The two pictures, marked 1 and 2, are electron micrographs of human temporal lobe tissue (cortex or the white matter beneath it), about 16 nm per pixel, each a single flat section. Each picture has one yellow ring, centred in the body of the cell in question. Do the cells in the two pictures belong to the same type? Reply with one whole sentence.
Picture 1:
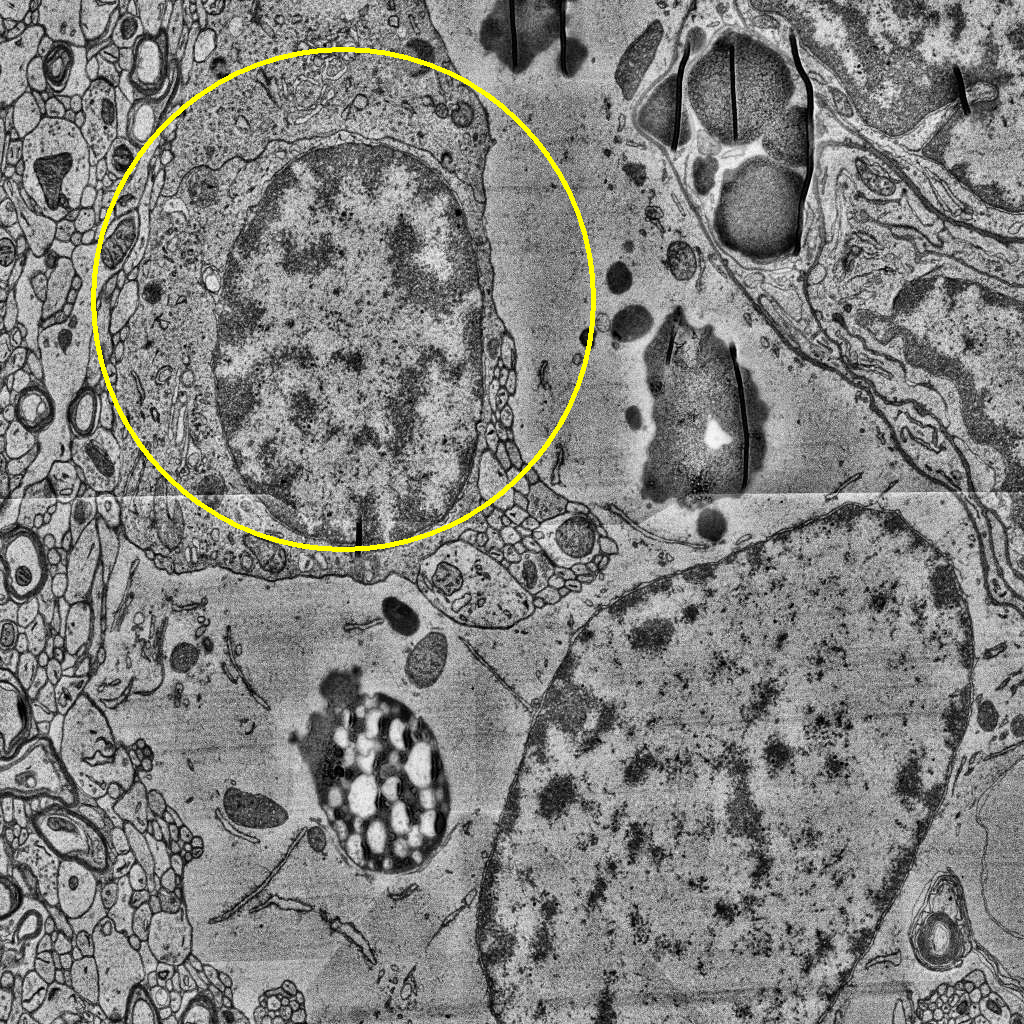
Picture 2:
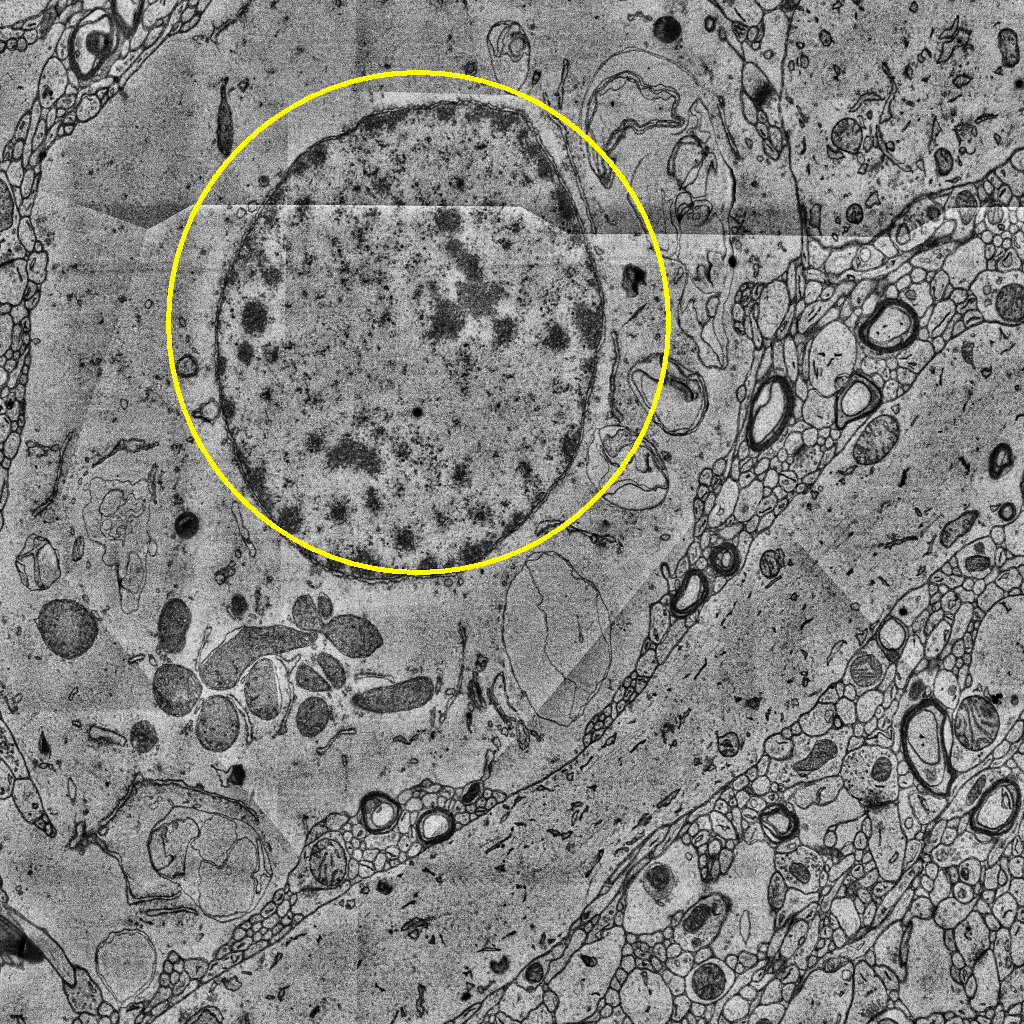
No, they differ: the cell is an oligodendrocyte in picture 1 and an astrocyte in picture 2.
